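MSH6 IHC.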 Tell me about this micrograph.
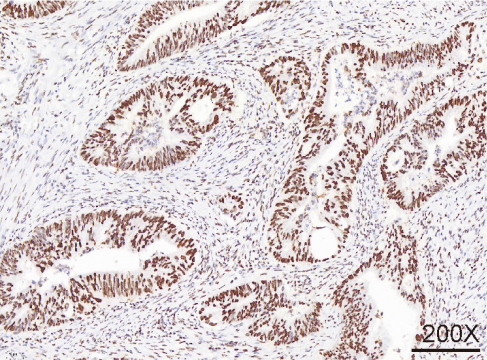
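Glandular epithelium set in a fibrous stroma. Irregular, branching glands with open lumens are lined by tall columnar cells whose elongated, crowded and stratified nuclei stain intensely brown, forming a dark band along each gland, while the apical cytoplasm is pale. Some lumens hold pale material. Around the glands, the stroma consists of spindle-shaped cells in loose streaming arrangement with elongated nuclei, a portion of which show brown nuclear staining and others blue counterstain. The contrast between the heavily stained epithelial rows and the paler stroma outlines the gland shapes sharply.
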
